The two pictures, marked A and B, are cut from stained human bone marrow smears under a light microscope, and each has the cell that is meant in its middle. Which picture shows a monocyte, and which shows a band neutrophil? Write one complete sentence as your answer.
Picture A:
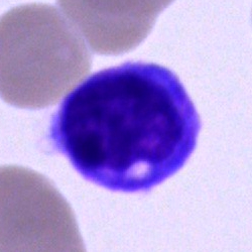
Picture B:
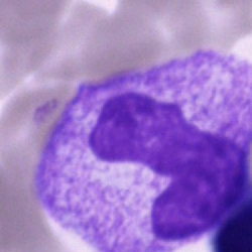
Picture A shows a monocyte and picture B shows a band neutrophil.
